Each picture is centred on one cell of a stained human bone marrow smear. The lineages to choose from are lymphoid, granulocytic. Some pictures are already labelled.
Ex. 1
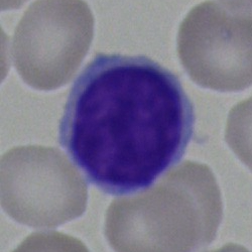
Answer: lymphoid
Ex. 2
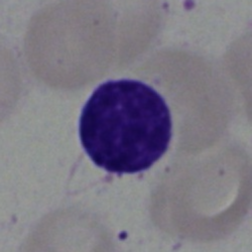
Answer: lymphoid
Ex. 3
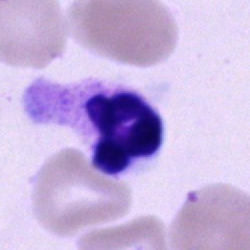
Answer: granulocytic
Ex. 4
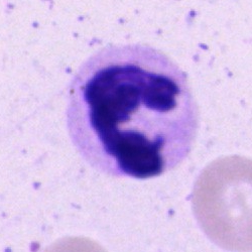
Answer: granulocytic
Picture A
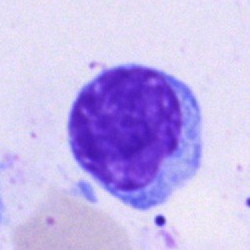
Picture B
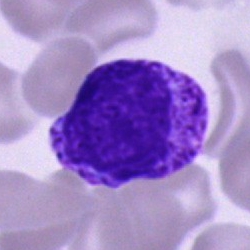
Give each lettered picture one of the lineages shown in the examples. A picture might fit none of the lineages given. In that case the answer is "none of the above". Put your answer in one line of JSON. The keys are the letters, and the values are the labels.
{"A": "lymphoid", "B": "granulocytic"}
